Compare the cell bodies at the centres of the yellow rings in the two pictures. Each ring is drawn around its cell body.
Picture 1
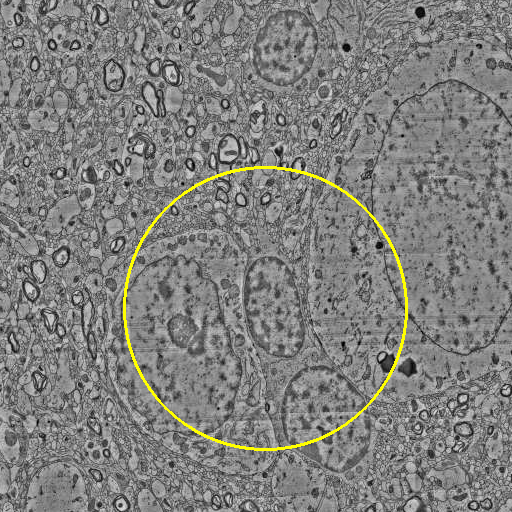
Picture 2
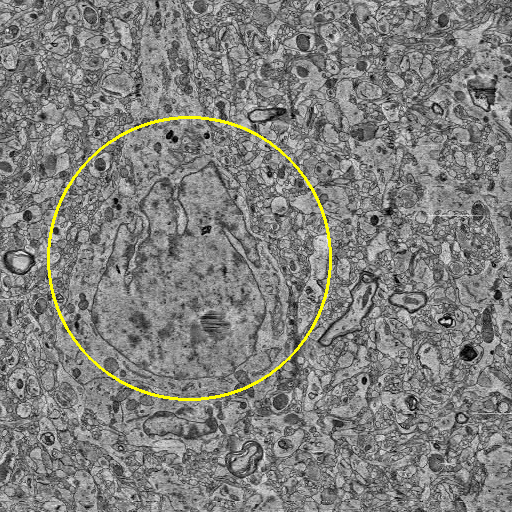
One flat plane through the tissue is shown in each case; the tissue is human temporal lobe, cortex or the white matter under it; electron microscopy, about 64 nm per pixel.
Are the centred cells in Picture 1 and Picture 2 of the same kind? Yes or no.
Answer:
no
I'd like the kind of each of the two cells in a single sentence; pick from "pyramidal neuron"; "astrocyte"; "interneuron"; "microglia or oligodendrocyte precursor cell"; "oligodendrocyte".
The first ring marks an oligodendrocyte, and the second ring marks an interneuron.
